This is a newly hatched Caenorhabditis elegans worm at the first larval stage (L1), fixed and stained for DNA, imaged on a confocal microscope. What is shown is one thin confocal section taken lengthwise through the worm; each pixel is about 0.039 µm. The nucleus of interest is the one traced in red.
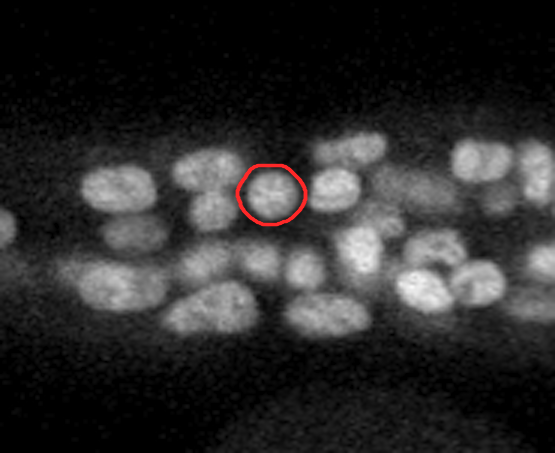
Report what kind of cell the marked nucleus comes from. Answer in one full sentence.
The nucleus comes from a glial cell (sheath or socket).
